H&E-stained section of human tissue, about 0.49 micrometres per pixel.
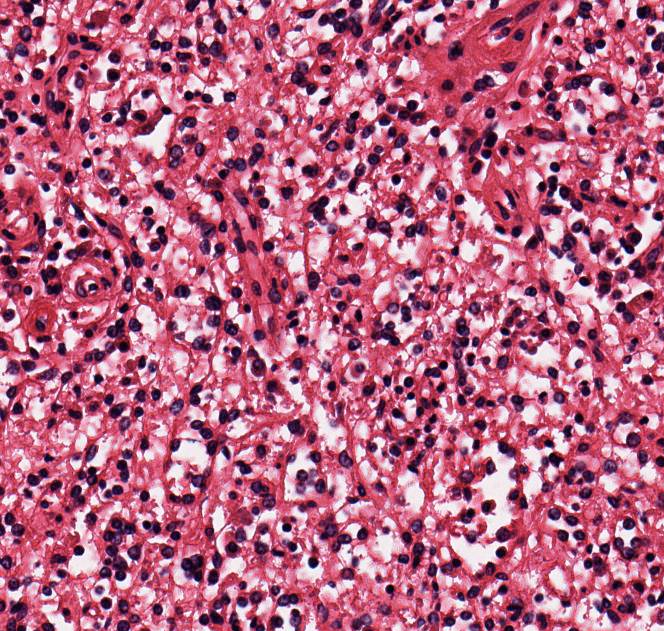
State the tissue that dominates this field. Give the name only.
red pulp of the spleen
